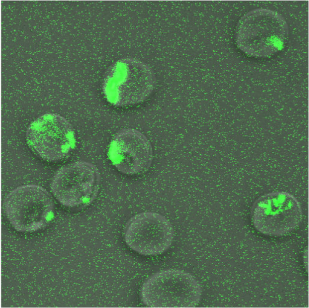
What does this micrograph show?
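Erythrocytes seen in phase contrast overlaid with green fluorescence. Some cells hold compact bright green patches, one of them large and elongated, while other cells contain no green. Fine green speckle covers the background.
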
